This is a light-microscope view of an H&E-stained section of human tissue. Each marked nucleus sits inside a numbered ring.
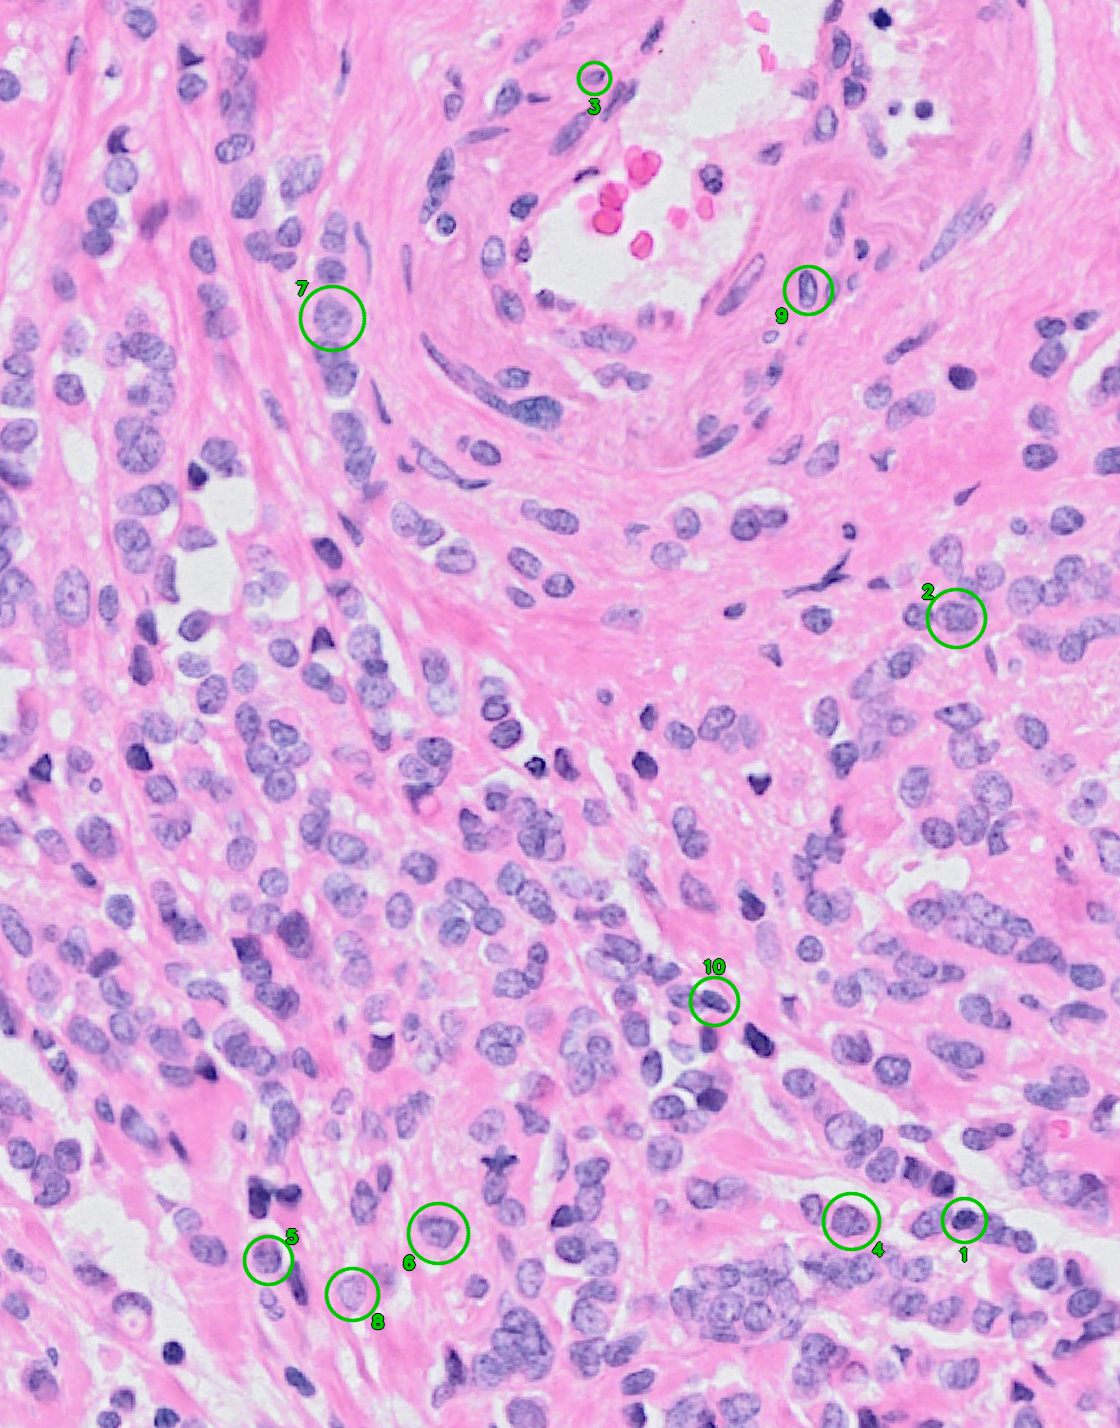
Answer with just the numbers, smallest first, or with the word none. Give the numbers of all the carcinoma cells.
2, 4, 5, 6, 7, 8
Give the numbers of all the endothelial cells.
3, 9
